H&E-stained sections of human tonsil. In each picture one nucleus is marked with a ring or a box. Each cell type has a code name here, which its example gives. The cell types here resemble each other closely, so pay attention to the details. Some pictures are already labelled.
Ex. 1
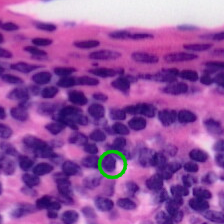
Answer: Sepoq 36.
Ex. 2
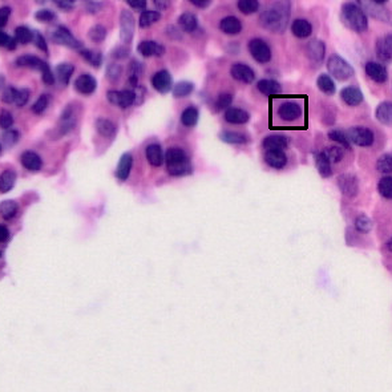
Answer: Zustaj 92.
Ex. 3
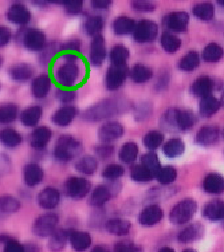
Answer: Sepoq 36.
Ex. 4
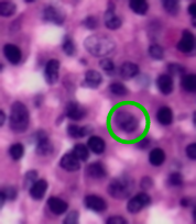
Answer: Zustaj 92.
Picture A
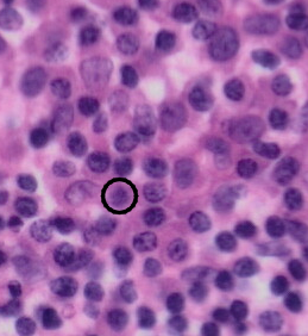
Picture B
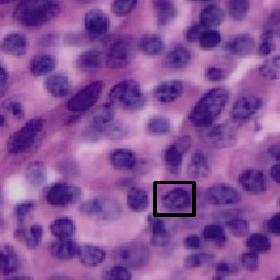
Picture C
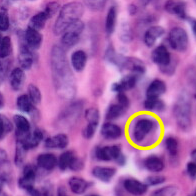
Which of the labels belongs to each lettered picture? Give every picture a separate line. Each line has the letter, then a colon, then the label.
A: Zustaj 92.
B: Zustaj 92.
C: Zustaj 92.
